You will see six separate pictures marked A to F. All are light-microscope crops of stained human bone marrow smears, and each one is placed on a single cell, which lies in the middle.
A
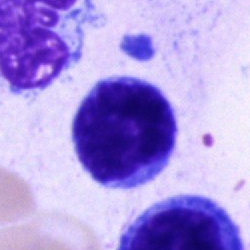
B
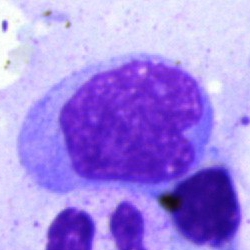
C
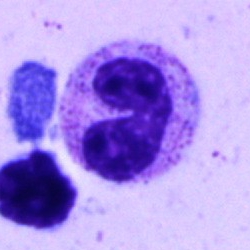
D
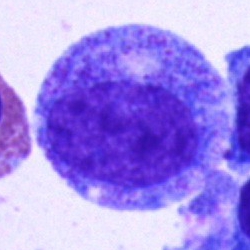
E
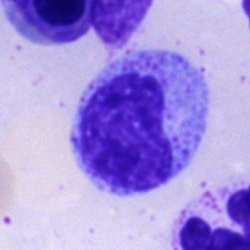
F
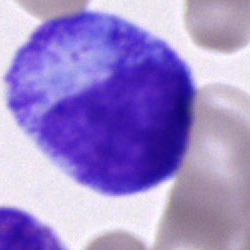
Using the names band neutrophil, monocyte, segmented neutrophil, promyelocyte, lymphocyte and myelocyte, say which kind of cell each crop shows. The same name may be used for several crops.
A: lymphocyte
B: monocyte
C: segmented neutrophil
D: promyelocyte
E: myelocyte
F: promyelocyte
